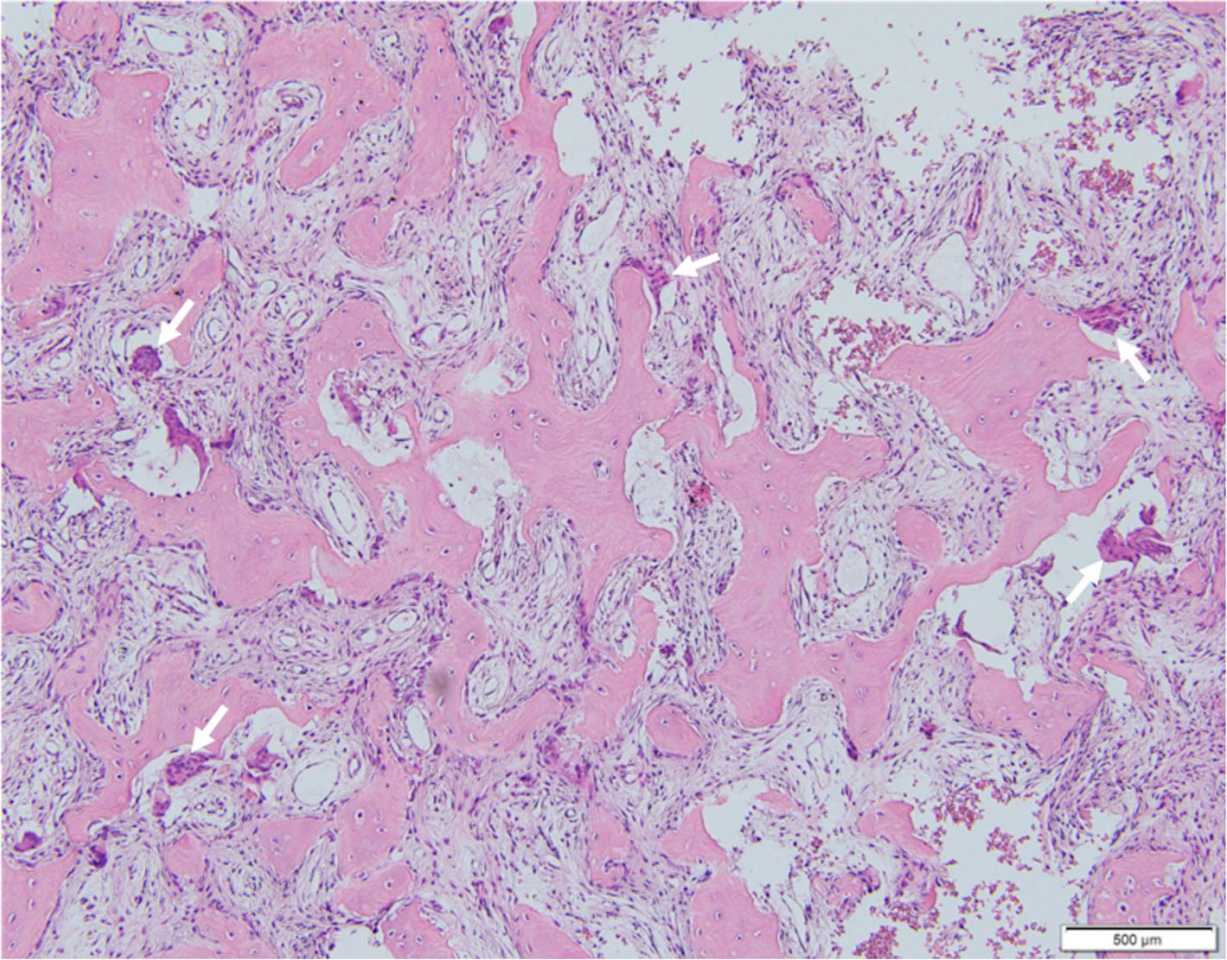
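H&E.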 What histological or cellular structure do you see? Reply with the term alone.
remodeled bone trabeculae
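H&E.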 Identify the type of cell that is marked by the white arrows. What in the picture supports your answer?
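Osteoclasts. The arrows point to large, dark purple cells with several nuclei. These cells lie against the edges of the pink bone trabeculae, some in scalloped hollows.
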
